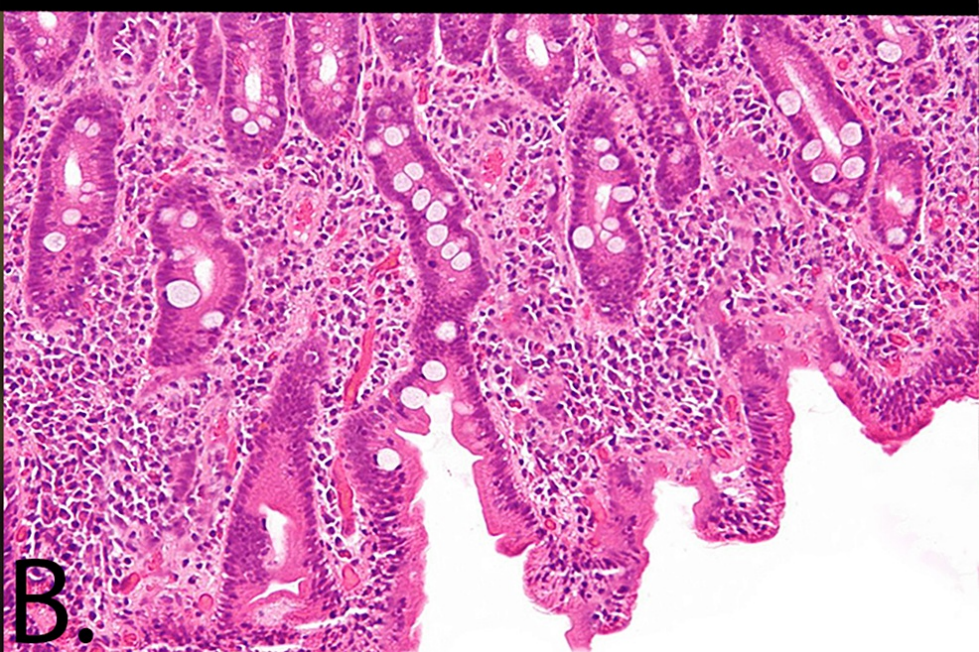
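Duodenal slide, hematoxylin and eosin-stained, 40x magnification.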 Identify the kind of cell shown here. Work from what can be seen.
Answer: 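Small round, densely dark-purple nuclei lie scattered between the columnar epithelial cells lining the glands and the surface. The same small dark round nuclei crowd the pink tissue between the glands. So: lymphocytes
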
